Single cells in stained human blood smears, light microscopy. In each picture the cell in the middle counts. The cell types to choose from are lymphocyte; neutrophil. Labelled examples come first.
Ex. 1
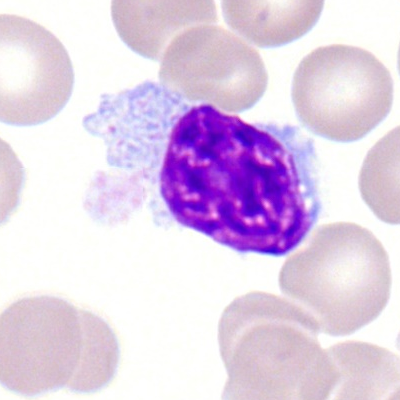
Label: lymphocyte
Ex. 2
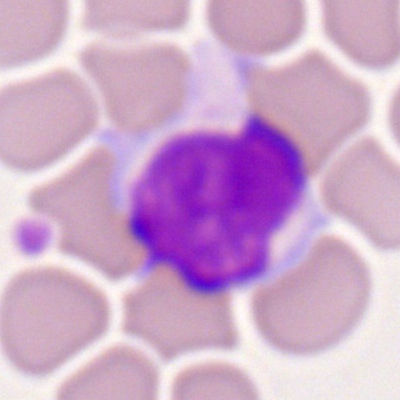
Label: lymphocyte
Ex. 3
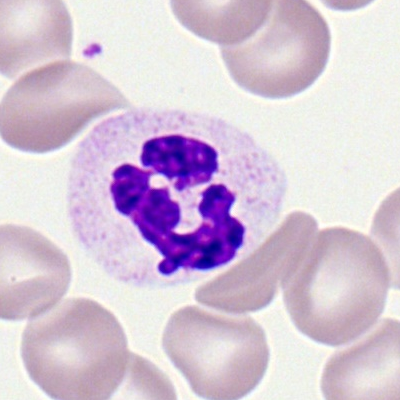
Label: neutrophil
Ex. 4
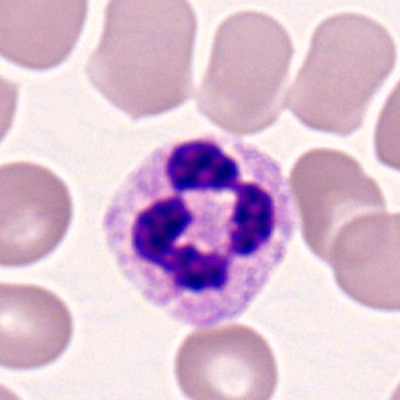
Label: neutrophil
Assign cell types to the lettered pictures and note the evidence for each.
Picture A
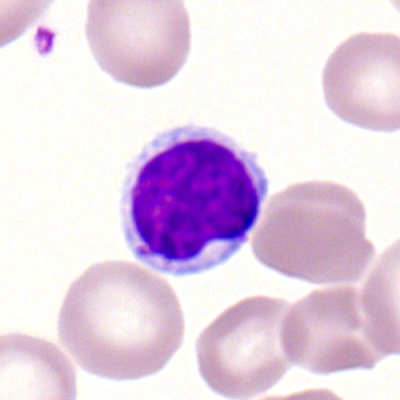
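Answer: lymphocyte. The nucleus fills most of the cell.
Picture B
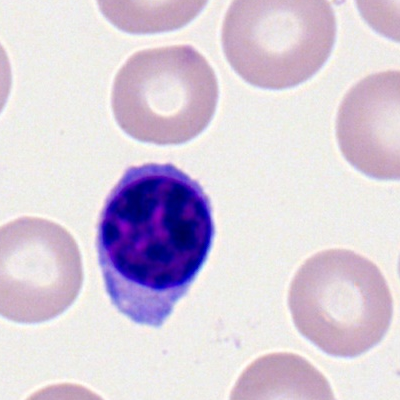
Answer: lymphocyte. The nucleus fills most of the cell.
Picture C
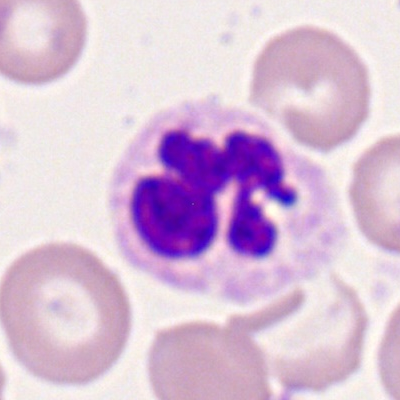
Answer: neutrophil. The nucleus is divided into several separate lobes.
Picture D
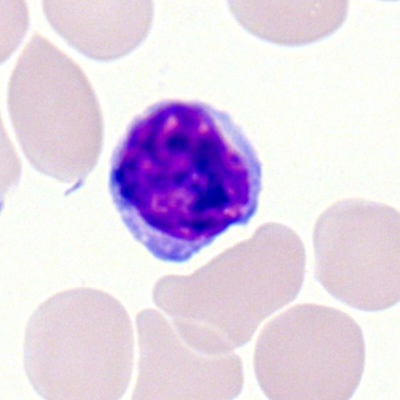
Answer: lymphocyte. The cytoplasm forms only a thin rim around the nucleus.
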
